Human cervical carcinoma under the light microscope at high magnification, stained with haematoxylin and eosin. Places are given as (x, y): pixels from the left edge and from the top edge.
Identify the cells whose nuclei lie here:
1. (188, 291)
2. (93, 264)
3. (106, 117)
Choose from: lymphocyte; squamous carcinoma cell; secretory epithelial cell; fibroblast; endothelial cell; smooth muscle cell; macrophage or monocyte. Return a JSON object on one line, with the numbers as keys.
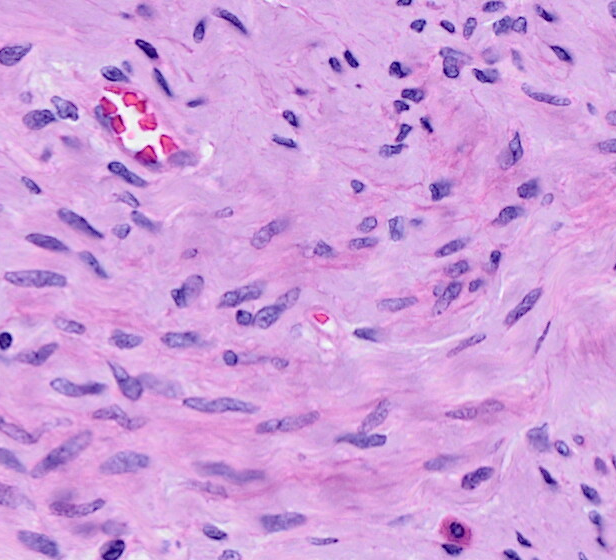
{"1": "fibroblast", "2": "fibroblast", "3": "endothelial cell"}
